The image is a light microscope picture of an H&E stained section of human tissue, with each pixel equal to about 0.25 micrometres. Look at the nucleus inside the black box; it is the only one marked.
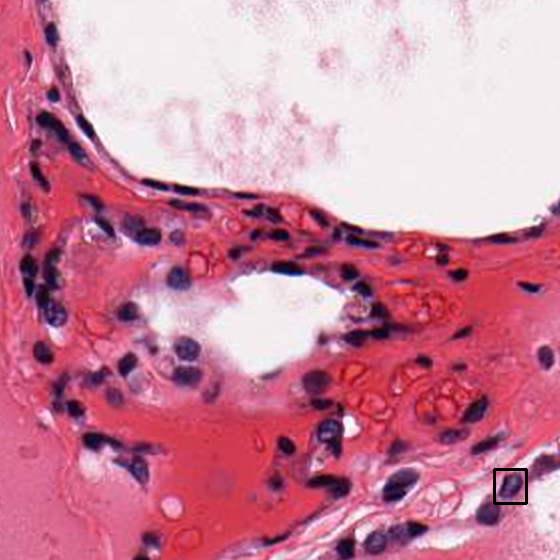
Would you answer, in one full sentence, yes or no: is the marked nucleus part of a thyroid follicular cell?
Yes, the marked nucleus is contained in a thyroid follicular cell.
